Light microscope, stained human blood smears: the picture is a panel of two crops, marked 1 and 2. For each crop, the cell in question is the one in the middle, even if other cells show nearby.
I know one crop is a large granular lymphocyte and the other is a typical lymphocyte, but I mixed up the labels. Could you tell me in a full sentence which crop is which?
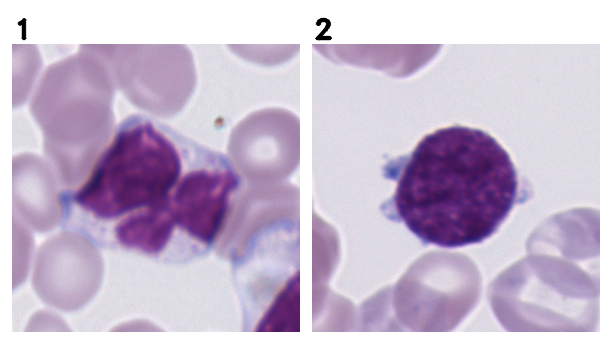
So, crop 1 is a large granular lymphocyte, and crop 2 is a typical lymphocyte.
